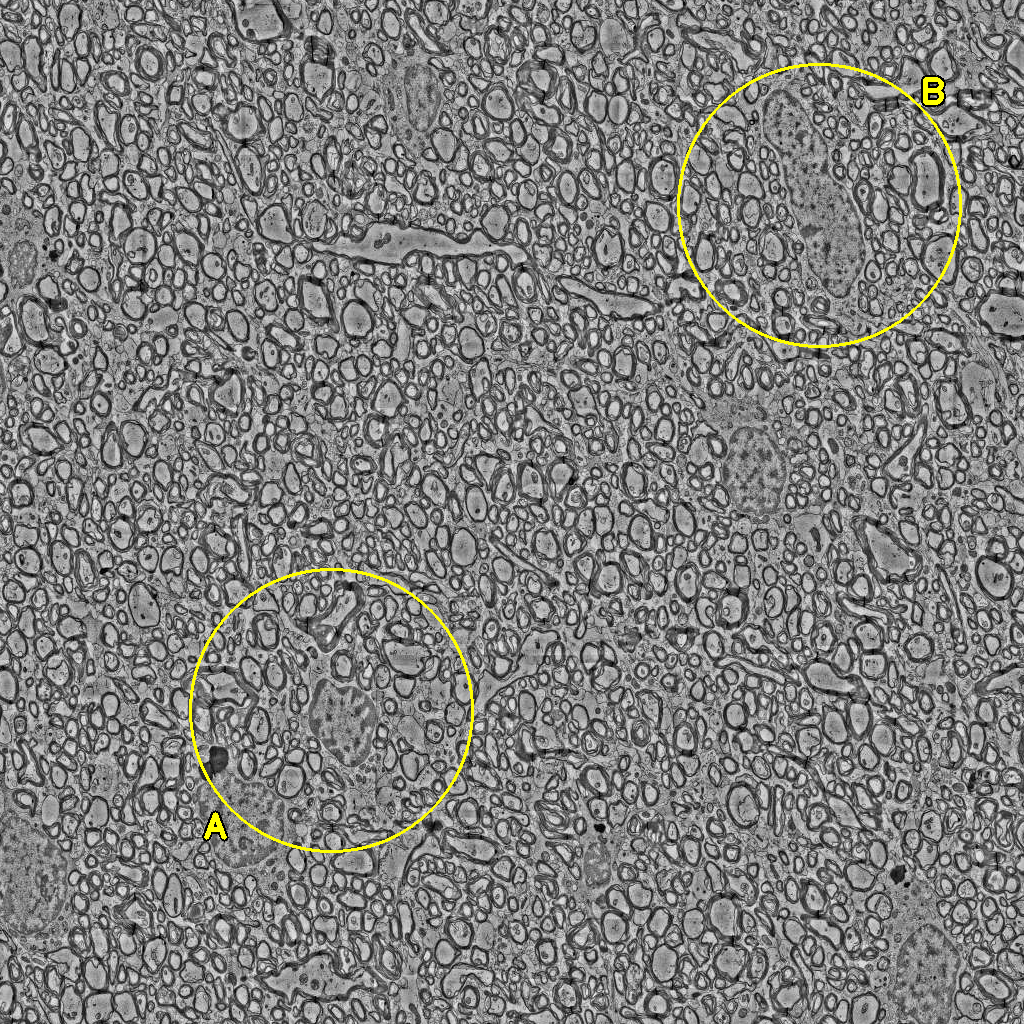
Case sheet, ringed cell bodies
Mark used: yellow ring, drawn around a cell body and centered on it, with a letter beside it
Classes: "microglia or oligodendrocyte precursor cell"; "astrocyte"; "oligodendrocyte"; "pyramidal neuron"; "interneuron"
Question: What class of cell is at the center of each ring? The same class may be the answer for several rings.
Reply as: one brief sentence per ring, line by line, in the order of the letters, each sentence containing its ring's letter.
Ring A has a microglial cell or oligodendrocyte precursor cell at its center.
Ring B has a microglial cell or oligodendrocyte precursor cell at its center.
